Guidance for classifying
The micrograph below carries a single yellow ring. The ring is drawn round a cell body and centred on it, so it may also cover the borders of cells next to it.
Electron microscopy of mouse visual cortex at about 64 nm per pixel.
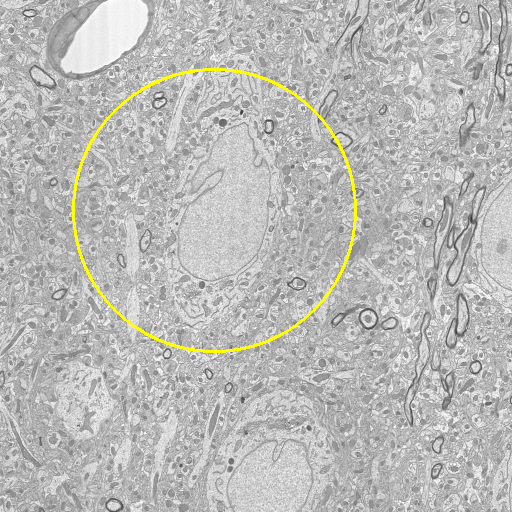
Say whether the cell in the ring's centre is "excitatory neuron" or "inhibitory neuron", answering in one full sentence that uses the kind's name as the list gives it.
Within the yellow ring, an inhibitory neuron is the cell whose body sits at the centre.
